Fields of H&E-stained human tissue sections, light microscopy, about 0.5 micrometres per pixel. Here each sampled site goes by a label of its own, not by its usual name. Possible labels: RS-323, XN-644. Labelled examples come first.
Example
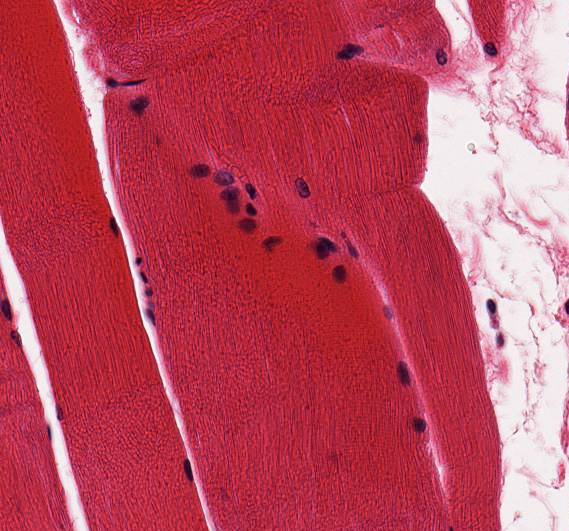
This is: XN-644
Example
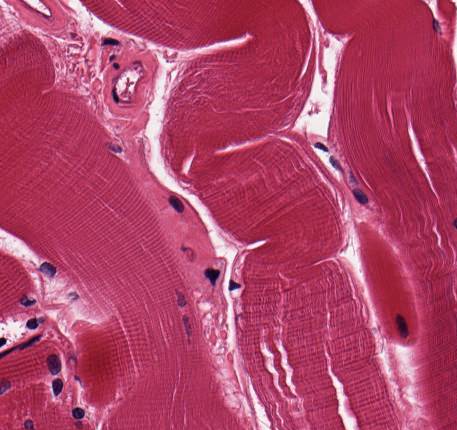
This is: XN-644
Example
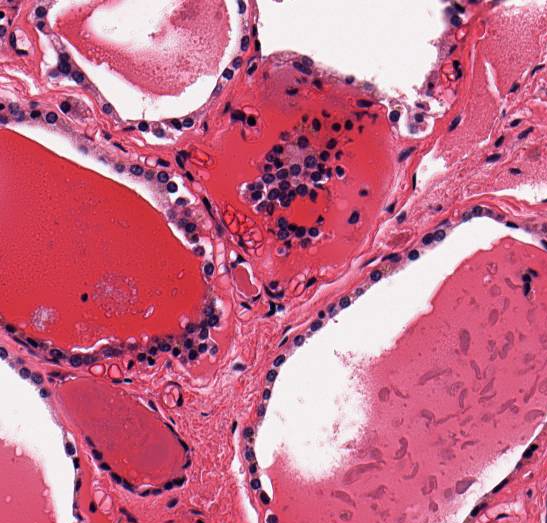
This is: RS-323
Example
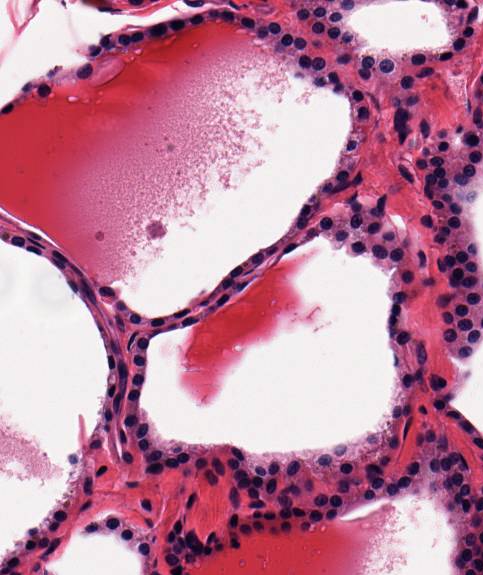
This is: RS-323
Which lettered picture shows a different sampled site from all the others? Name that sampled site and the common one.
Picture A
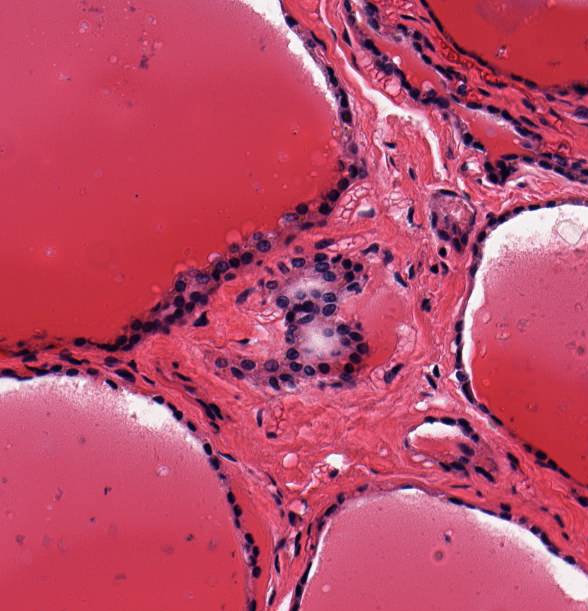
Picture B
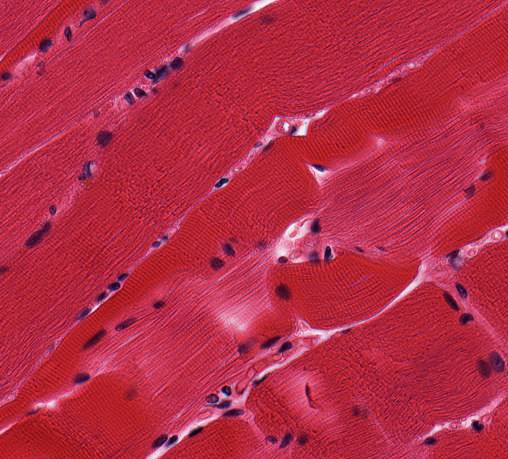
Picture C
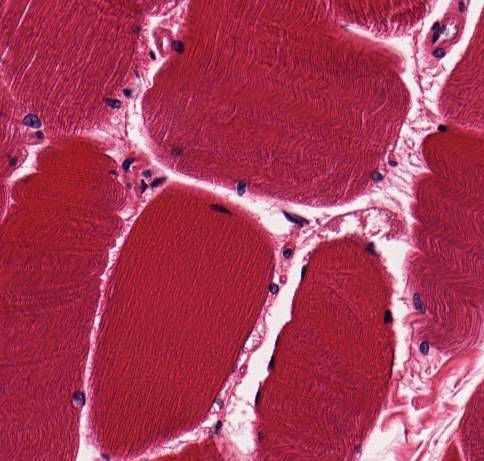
Odd one out: A (RS-323). The rest: XN-644.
